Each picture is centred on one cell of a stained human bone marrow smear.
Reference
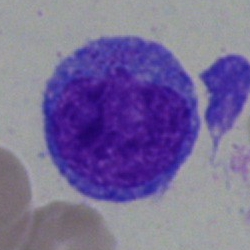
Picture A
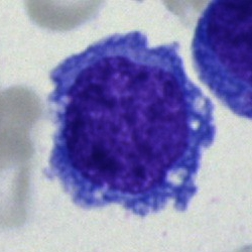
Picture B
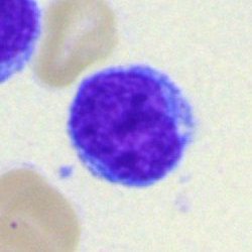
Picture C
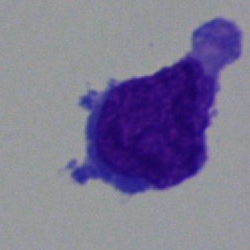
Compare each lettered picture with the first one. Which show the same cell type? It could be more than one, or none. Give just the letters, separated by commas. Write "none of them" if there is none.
A, B, C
